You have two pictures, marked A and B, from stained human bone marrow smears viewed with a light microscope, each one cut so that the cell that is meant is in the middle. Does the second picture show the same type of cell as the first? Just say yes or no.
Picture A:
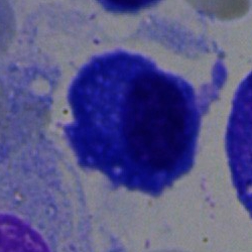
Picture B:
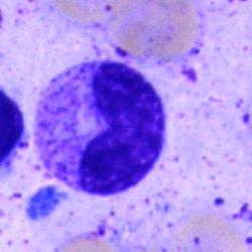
no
